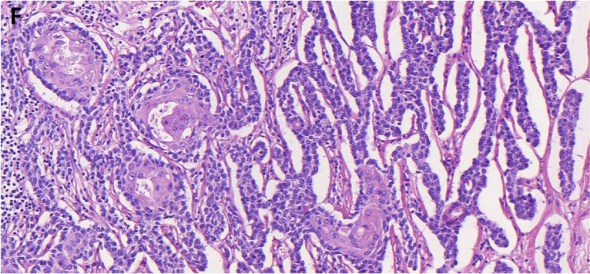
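This field shows tumor epithelium with many small dark cells arranged in long, parallel cords and nests separated by clear slit-like spaces from thin strands of stroma. The cells have crowded, dark oval nuclei and scant cytoplasm, giving the cords a deep purple look. On the left, several rounded whorls of larger cells with abundant pink cytoplasm stand out, some with pink keratin-like material at their centres. These whorls appear abruptly within the dark cell nests, which is squamous differentiation in a tumor otherwise of neuroendocrine-like appearance.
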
